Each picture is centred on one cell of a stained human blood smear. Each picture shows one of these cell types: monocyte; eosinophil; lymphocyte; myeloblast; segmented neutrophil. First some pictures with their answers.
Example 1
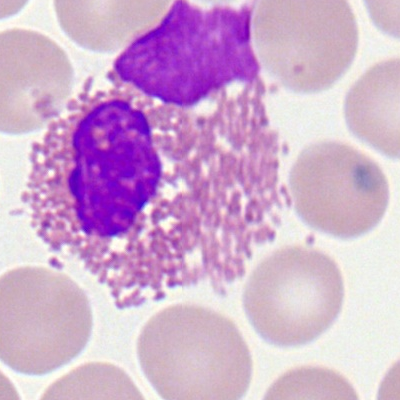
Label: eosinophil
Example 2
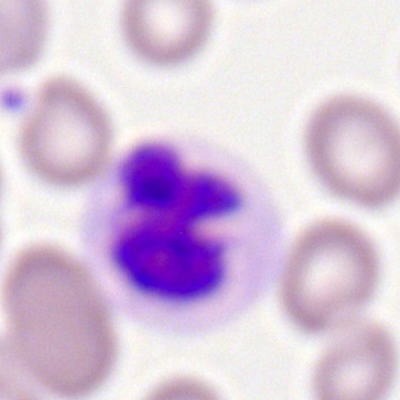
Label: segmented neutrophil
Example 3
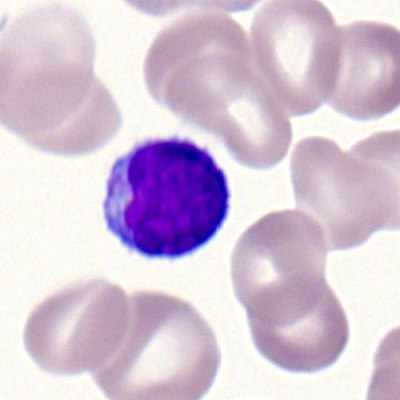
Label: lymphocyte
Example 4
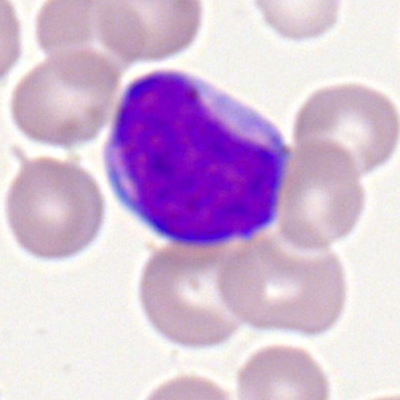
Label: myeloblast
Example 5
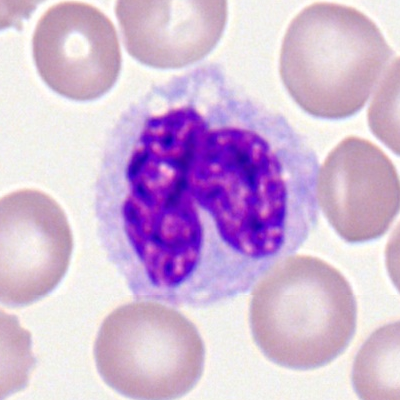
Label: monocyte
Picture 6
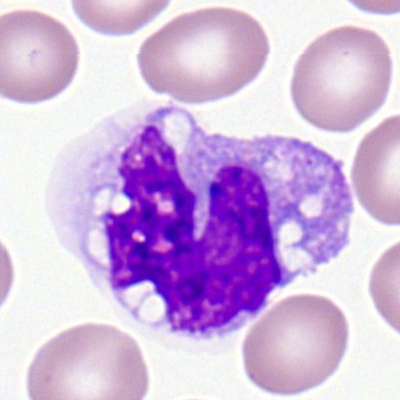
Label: monocyte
